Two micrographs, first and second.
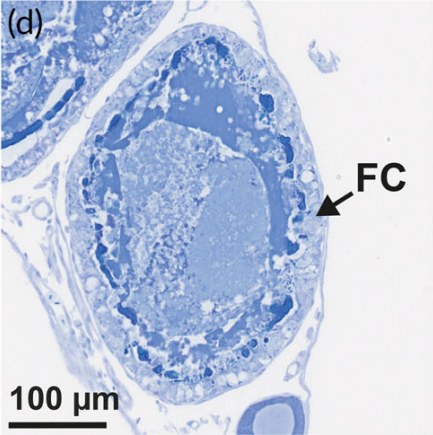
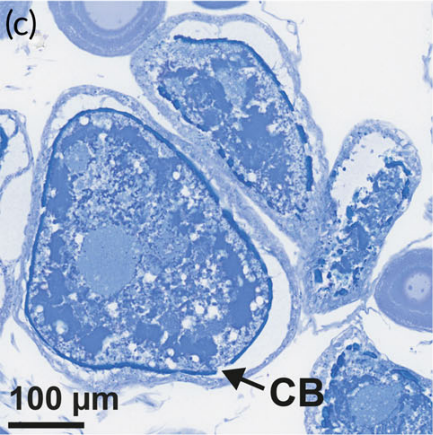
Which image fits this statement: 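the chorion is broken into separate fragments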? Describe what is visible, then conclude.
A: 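The first image. First image: the dark envelope lies as separate pieces around the oocyte. Second image: the dark envelope is a mostly continuous band with local breaks.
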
